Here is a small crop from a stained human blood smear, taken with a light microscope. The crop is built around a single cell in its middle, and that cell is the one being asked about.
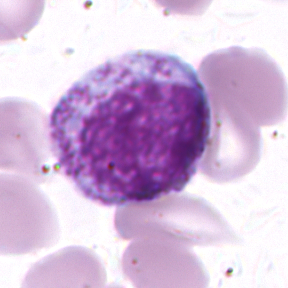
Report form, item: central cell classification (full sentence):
The middle of this crop holds a myelocyte.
